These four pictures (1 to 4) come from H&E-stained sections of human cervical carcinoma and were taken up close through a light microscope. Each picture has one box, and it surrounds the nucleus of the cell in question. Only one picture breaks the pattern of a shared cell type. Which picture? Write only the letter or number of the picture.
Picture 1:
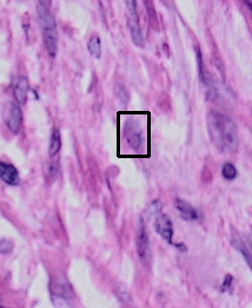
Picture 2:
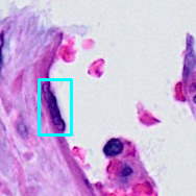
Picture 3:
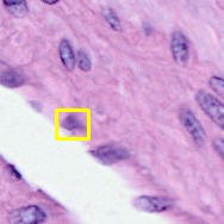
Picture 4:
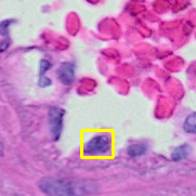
1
